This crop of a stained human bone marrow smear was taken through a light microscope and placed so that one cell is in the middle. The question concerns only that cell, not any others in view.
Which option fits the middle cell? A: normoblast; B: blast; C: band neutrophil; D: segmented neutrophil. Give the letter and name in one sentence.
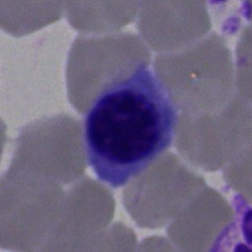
The central cell, a normoblast, is correctly identified by option A.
